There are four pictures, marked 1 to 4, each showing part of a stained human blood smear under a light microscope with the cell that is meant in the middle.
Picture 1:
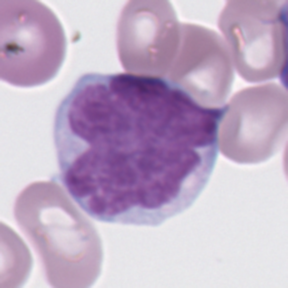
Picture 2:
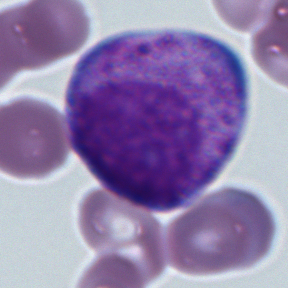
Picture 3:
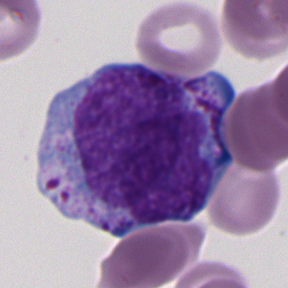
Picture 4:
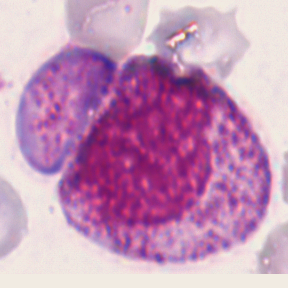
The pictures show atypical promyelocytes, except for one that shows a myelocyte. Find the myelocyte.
4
